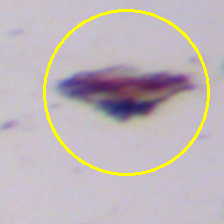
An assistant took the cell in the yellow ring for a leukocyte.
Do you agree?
I disagree, it is a cornified epithelial cell.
